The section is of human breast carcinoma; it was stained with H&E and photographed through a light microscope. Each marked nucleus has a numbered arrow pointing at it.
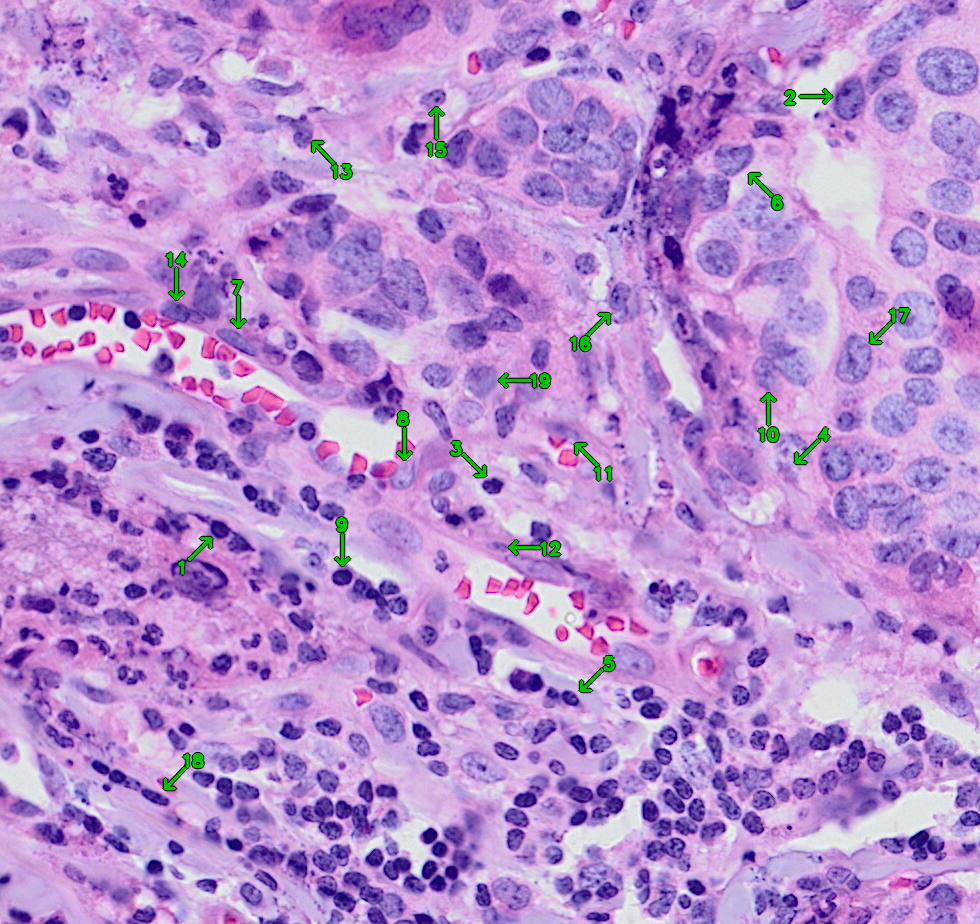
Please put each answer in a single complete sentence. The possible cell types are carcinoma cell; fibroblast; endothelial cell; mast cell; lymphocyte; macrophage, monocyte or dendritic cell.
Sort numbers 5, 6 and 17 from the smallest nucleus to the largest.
By area, going up from the smallest, they rank 5, 6, 17.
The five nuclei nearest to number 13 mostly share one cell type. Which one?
Most of the five nuclei nearest to number 13 are those of macrophages, monocytes or dendritic cells.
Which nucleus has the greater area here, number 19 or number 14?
Number 19 is larger; its area is about 2 times that of number 14.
